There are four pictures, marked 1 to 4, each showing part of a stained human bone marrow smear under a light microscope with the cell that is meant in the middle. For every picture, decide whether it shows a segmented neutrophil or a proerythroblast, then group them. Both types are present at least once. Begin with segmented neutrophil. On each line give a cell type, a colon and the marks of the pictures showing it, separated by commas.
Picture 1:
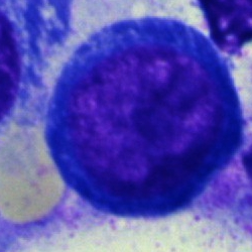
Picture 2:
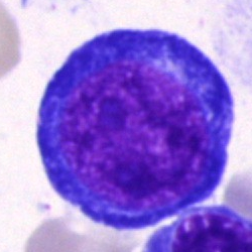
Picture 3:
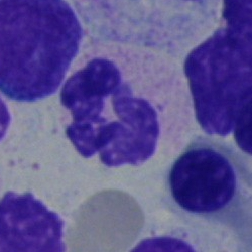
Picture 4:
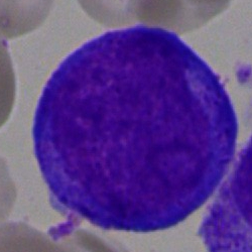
segmented neutrophil: 3
proerythroblast: 1, 2, 4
